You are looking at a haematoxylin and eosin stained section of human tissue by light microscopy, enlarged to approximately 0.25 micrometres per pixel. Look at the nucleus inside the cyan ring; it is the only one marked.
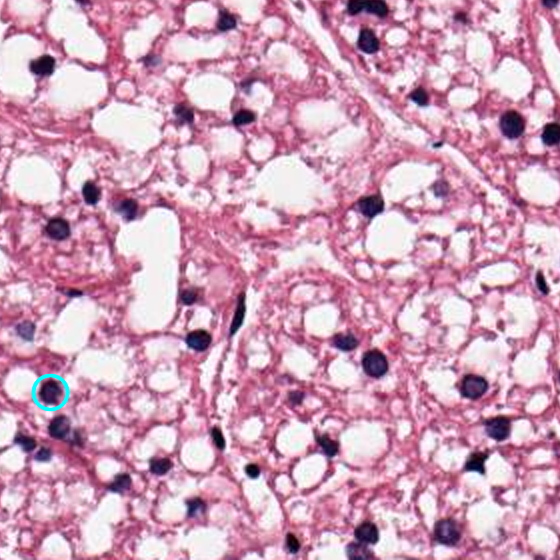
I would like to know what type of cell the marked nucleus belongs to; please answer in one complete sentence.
On this slide, the marked nucleus belongs to an adrenal cortical cell.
